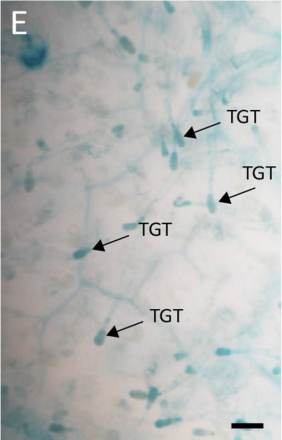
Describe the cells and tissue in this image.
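The heads are stained clearly blue, and the stalks carry a fainter blue tint. The trichomes are scattered fairly densely and point in various directions, overlapping one another. The leaf tissue behind them is largely pale, with only weak blue colouring, so the glandular heads stand out as the most strongly stained structures.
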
